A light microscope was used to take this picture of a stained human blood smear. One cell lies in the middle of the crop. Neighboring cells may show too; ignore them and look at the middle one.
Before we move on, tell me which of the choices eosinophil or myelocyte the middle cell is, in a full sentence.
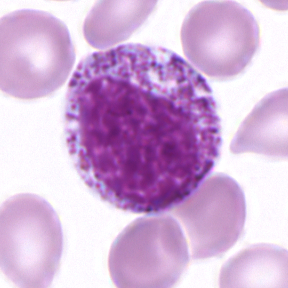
This crop is built around a myelocyte at its centre.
